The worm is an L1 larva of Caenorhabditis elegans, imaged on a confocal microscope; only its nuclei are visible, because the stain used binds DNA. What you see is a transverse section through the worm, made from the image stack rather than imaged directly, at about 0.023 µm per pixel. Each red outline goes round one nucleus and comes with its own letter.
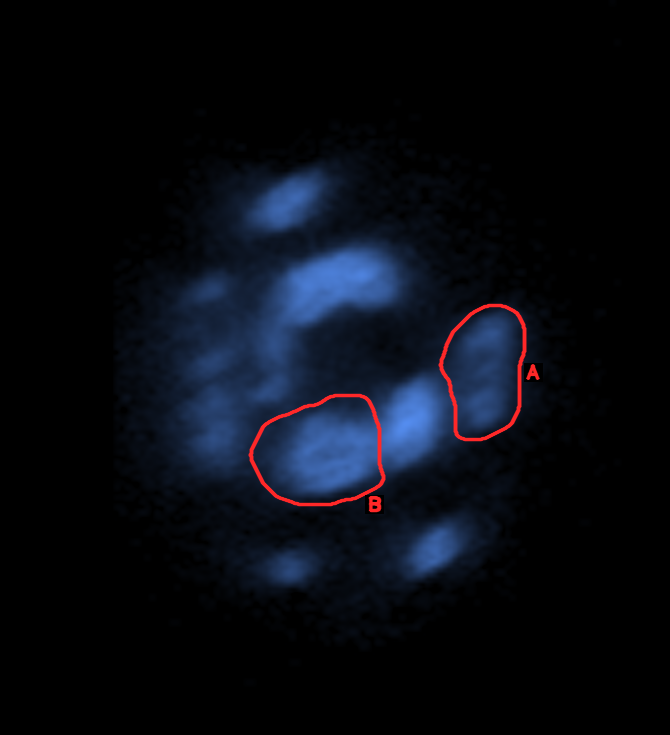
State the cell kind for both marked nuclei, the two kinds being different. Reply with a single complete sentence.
B belongs to a valve cell of the gut, and A to a hypodermal cell (hyp).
